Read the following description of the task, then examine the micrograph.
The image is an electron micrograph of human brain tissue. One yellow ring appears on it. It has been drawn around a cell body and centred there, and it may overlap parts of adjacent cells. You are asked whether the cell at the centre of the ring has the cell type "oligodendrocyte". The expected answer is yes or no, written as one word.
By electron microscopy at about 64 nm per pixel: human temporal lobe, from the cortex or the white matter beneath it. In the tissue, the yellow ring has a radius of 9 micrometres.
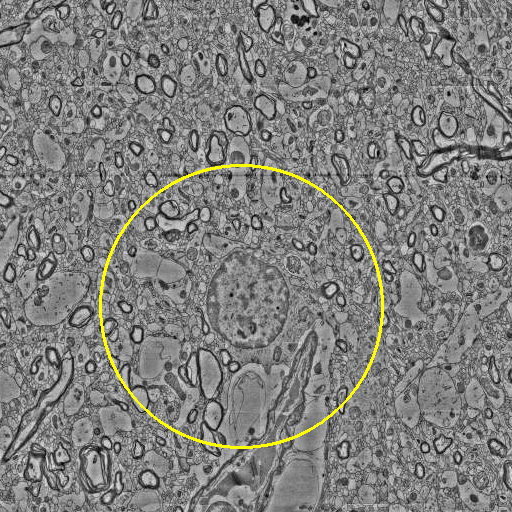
yes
